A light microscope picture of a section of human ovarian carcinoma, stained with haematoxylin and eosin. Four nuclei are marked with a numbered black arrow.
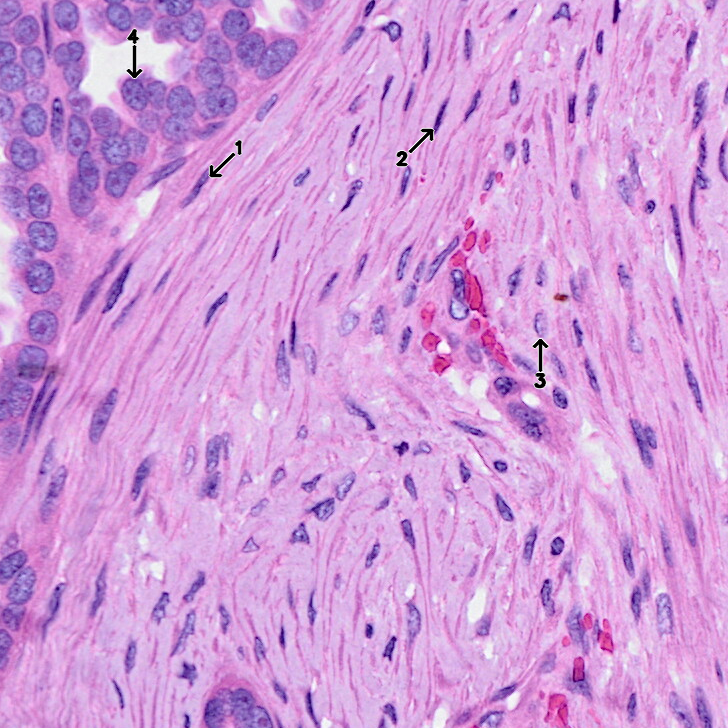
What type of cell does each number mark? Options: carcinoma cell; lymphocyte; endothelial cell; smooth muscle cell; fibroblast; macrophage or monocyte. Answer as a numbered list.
1. fibroblast
2. fibroblast
3. fibroblast
4. carcinoma cell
